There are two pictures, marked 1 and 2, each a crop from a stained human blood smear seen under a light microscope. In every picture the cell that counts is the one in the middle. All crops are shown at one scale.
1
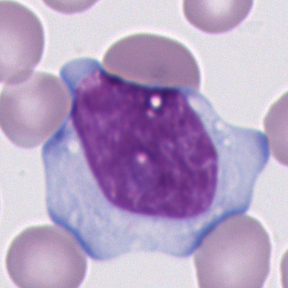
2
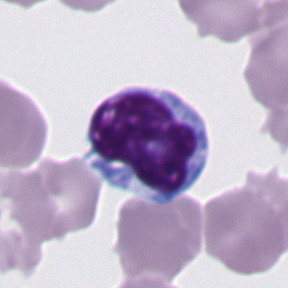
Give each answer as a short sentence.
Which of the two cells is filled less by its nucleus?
It is the cell in crop 1 that is filled less by its nucleus.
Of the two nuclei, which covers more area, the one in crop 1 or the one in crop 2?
The nucleus in crop 1 is larger, with about 2.5 times the area of the one in crop 2.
